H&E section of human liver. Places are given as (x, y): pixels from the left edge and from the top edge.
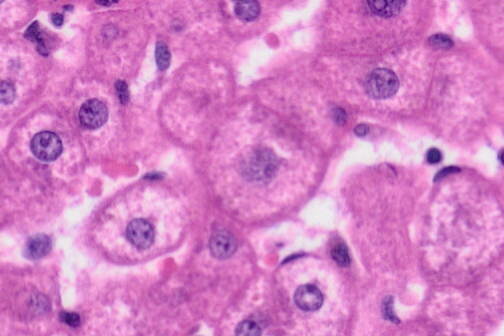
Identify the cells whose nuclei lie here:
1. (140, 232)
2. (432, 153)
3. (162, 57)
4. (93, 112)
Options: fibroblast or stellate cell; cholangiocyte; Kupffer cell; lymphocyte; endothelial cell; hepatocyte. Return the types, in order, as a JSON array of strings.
["hepatocyte", "lymphocyte", "Kupffer cell", "hepatocyte"]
